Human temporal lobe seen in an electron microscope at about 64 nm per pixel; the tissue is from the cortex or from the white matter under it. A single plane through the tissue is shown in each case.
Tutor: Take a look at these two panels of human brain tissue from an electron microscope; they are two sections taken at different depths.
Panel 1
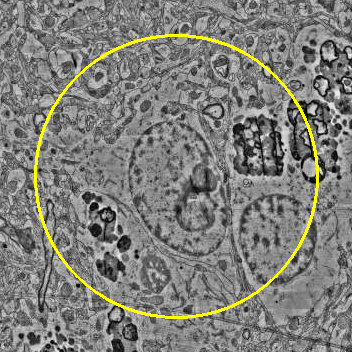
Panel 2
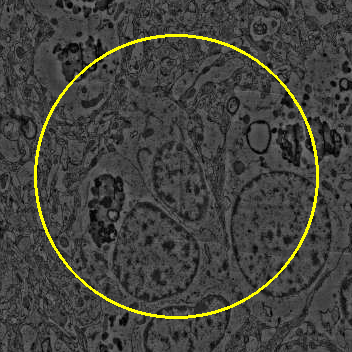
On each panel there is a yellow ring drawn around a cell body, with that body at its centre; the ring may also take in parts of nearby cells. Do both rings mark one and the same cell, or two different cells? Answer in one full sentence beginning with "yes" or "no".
Yes, what the two rings mark is one cell.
